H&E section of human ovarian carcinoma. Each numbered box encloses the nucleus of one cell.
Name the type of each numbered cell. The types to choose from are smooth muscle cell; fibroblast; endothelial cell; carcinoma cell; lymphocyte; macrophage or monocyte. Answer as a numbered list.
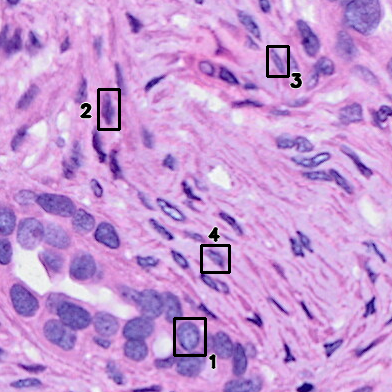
1. carcinoma cell
2. fibroblast
3. fibroblast
4. fibroblast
